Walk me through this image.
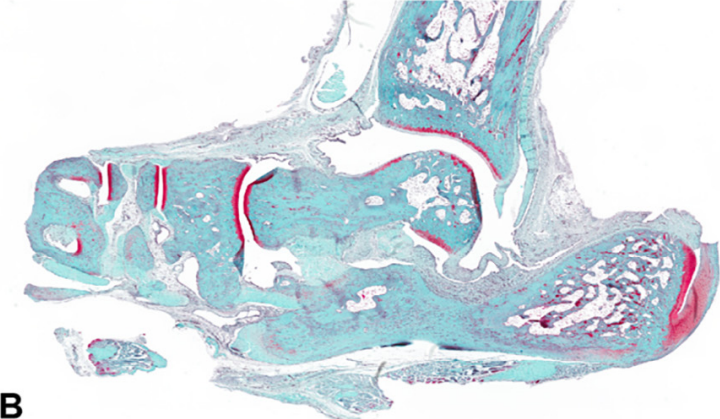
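A low-power section through an ankle joint shows several bones with trabecular bone and marrow spaces, stained blue-green. The articular surfaces facing each other across the joint spaces are covered by thin red-stained layers of hyaline cartilage, while loose connective tissue surrounds the joint.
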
